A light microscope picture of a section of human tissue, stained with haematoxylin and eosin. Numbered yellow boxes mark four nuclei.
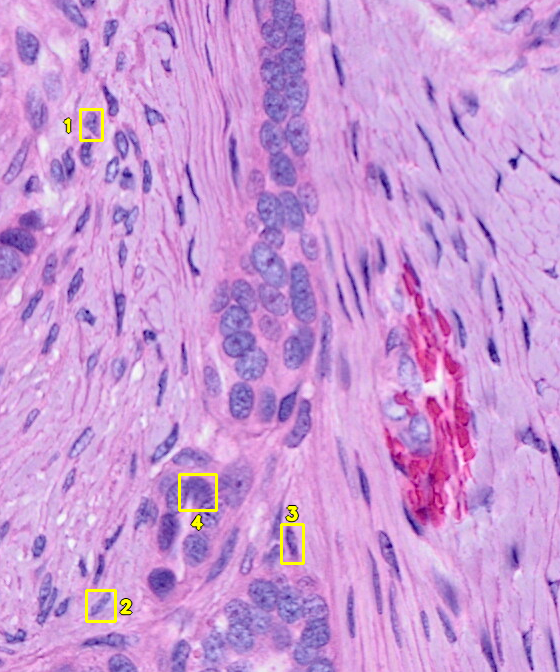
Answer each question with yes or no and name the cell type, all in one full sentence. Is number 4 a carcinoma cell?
Yes, the cell whose number is 4 is a carcinoma cell.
